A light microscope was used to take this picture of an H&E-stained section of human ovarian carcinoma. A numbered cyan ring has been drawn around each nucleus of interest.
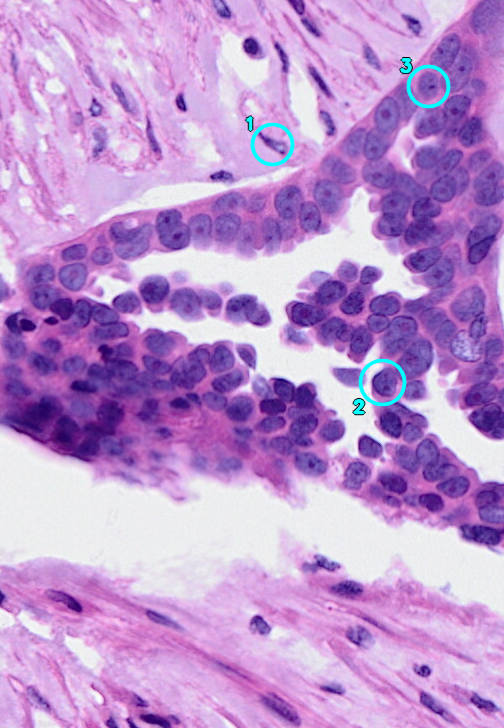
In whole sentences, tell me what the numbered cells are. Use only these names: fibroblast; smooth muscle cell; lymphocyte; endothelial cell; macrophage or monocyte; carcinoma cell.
Cell 1 is a fibroblast, cell 2 is a carcinoma cell and cell 3 is a carcinoma cell.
